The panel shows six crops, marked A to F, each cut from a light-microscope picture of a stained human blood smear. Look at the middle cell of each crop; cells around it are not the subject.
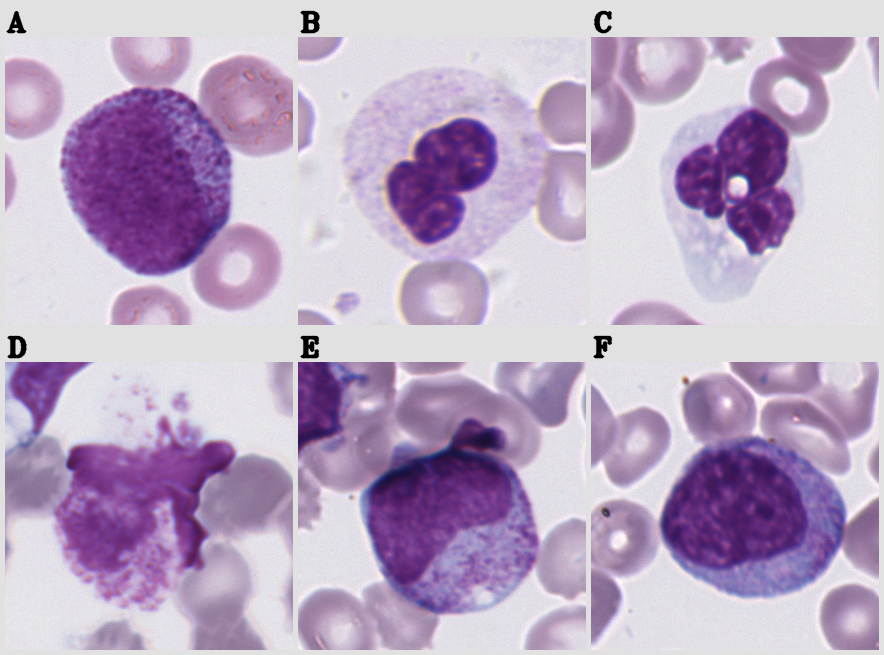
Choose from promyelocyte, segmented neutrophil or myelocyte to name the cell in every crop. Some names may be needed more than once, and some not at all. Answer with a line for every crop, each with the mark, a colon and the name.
A: promyelocyte
B: segmented neutrophil
C: segmented neutrophil
D: segmented neutrophil
E: myelocyte
F: promyelocyte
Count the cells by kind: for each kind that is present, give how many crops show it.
segmented neutrophil: 3
promyelocyte: 2
myelocyte: 1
